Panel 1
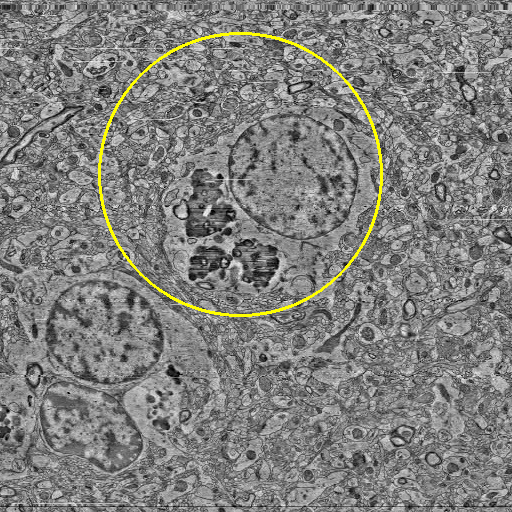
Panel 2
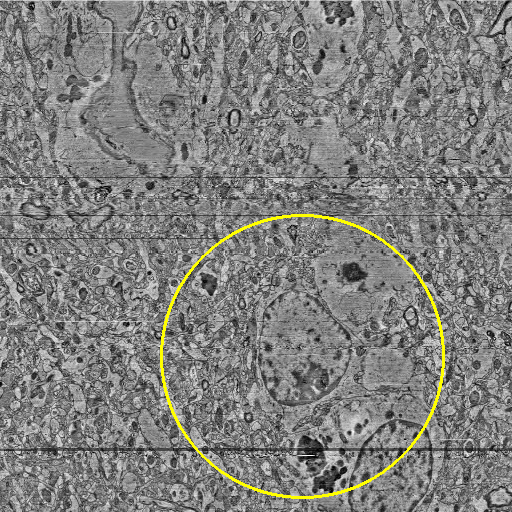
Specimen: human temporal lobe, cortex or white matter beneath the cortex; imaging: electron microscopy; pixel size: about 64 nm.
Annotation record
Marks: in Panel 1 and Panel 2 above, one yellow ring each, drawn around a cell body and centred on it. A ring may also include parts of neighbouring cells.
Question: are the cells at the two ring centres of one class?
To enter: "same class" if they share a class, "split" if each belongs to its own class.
same class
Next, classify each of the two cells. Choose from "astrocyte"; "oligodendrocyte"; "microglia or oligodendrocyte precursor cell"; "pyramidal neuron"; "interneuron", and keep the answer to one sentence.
Each cell at the centre of a ring is an astrocyte.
